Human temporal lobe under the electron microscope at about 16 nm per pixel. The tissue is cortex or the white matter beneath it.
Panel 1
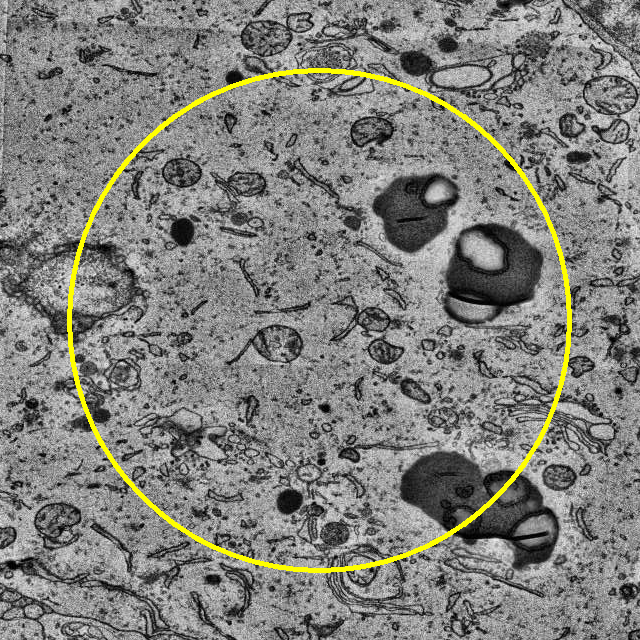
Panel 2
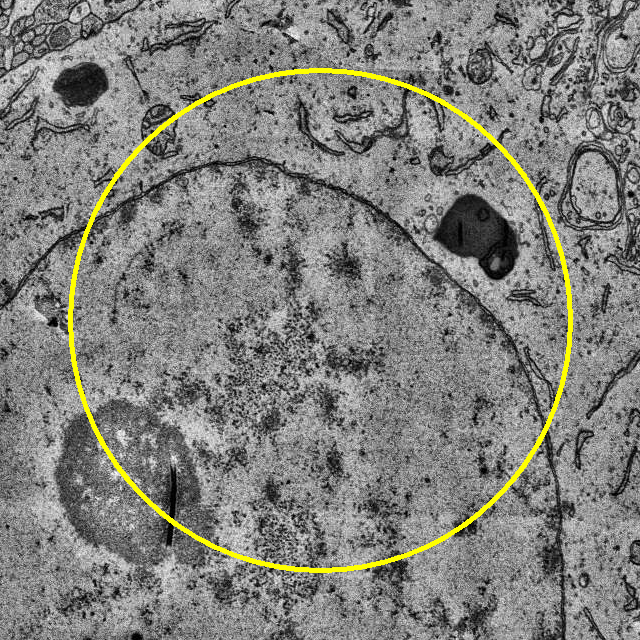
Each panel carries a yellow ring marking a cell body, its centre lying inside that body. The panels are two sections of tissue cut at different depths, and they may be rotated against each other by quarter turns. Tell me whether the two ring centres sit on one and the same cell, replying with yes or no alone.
no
